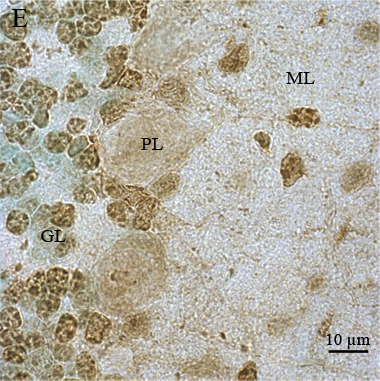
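Cerebellar cortex at high magnification, with large rounded Purkinje cell bodies lying in a row between the granular layer and the molecular layer. The Purkinje cells have pale brown cytoplasm and a central rounded nucleus, while the granular layer at the left is made of tightly clustered small round cells with dark brown nuclei against a blue-green background. The molecular layer on the right is a pale fibrous neuropil with sparse, scattered small brown nuclei.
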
